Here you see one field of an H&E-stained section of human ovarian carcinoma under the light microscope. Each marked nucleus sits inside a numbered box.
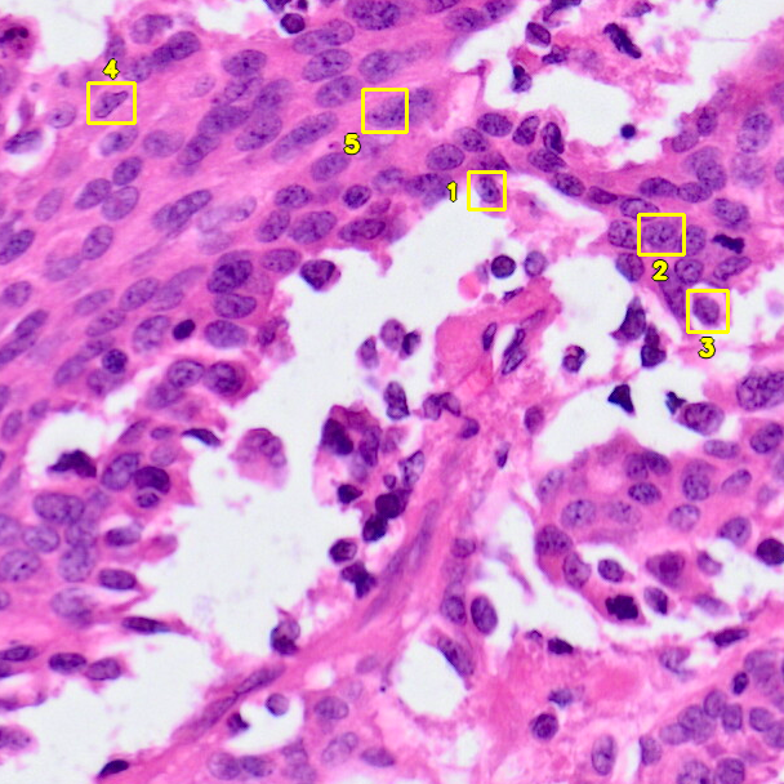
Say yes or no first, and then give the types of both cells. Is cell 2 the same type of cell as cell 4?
No, cell 2 is recognized as a carcinoma cell, and cell 4 as a macrophage or monocyte.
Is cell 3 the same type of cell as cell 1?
No, cell 3 counts as a carcinoma cell, and cell 1 counts as a macrophage or monocyte.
